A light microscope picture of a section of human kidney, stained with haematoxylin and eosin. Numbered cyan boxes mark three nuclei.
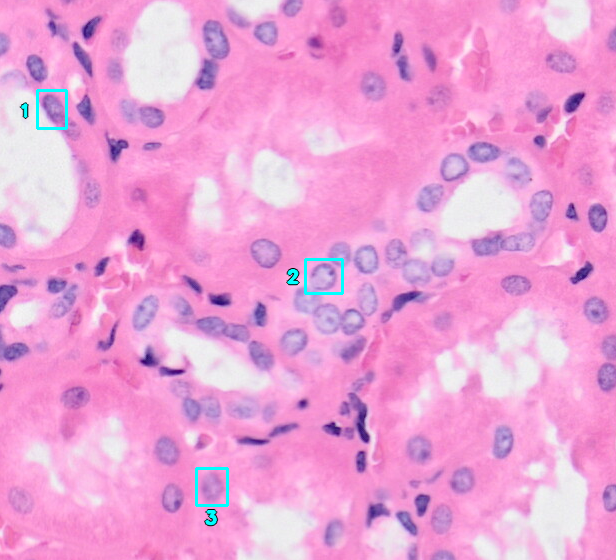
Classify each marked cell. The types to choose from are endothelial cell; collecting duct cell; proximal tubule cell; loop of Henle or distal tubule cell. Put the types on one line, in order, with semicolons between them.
loop of Henle or distal tubule cell; collecting duct cell; proximal tubule cell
